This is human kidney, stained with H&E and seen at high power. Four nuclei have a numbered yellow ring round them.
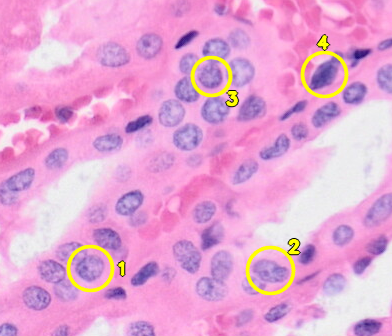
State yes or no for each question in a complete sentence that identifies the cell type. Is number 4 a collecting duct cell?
No, sorry, the cell labelled 4 is not a collecting duct cell; it is an endothelial cell.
